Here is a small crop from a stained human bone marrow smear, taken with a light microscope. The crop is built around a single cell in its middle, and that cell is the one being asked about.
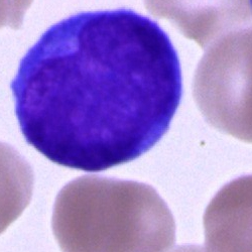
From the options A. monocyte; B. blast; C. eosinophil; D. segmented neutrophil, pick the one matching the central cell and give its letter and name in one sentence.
That cell in the center is a blast, hence option B.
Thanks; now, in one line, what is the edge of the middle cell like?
The membrane contour is even and smooth, with nothing projecting from it.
